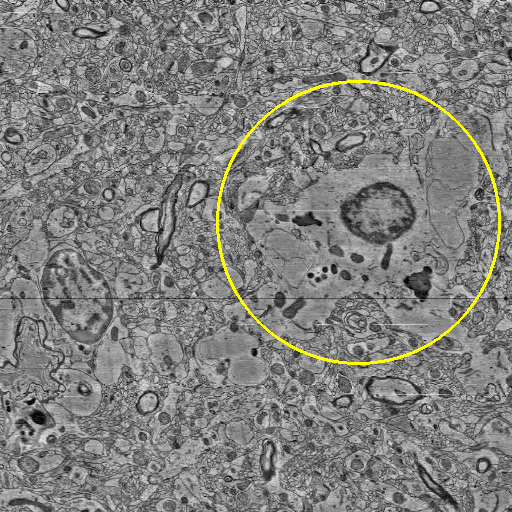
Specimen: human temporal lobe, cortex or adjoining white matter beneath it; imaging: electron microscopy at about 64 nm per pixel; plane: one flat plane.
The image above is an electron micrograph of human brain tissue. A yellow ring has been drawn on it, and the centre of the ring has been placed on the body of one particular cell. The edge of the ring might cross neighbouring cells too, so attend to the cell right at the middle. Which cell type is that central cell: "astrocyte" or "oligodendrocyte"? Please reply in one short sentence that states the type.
The central cell in the ring is an astrocyte.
